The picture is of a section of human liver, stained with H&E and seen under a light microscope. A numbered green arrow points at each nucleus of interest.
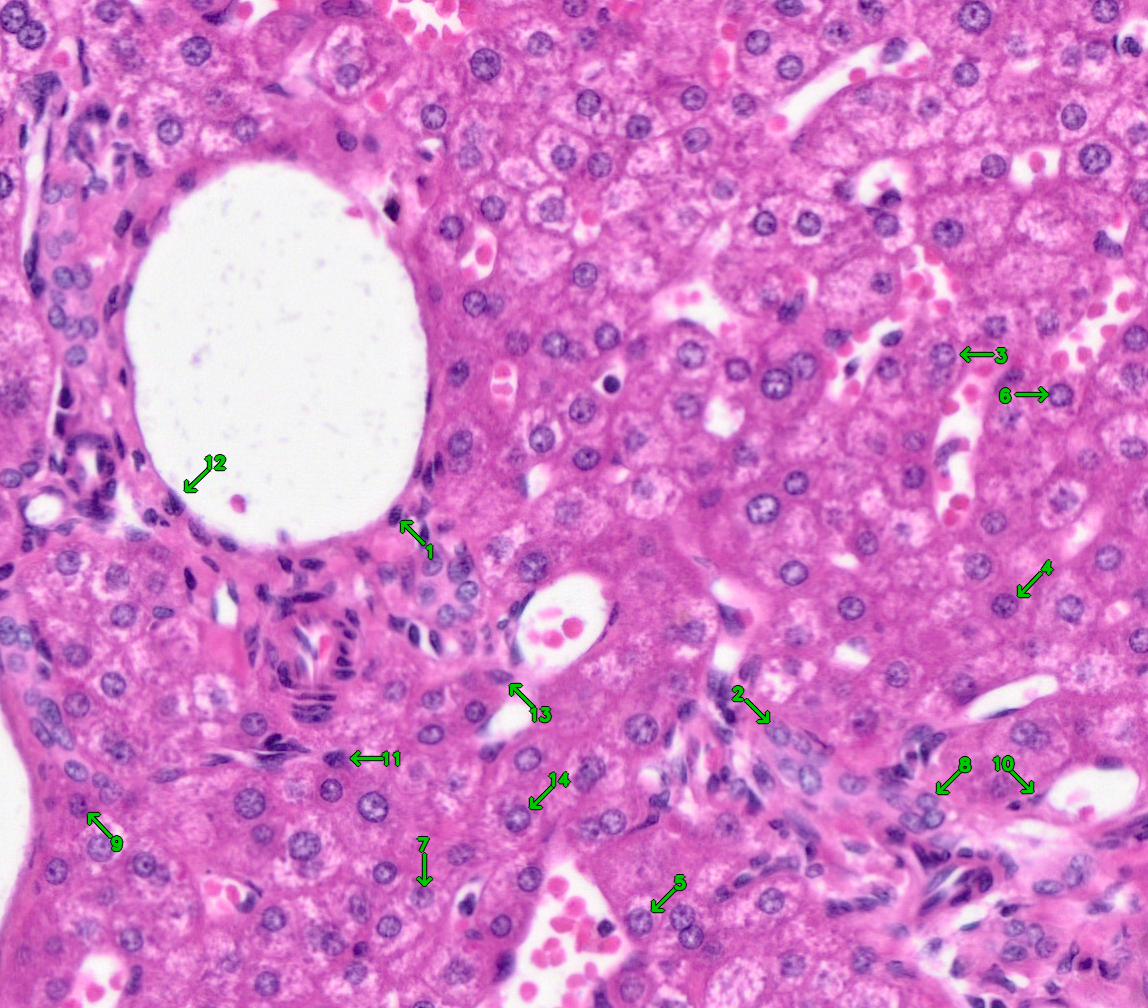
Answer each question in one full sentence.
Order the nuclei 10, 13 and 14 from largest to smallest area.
Largest first, the order by area is 14, 13, 10.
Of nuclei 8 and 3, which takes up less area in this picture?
Nucleus 8 covers less area, with nucleus 3 about 2 times as large.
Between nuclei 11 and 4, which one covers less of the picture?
The smaller nucleus is 11, and 4 covers roughly 1.5 times its area.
